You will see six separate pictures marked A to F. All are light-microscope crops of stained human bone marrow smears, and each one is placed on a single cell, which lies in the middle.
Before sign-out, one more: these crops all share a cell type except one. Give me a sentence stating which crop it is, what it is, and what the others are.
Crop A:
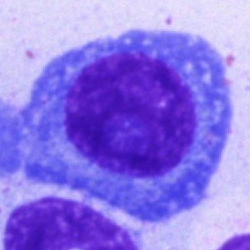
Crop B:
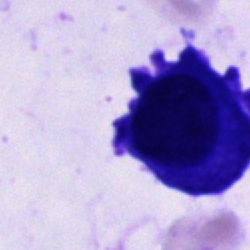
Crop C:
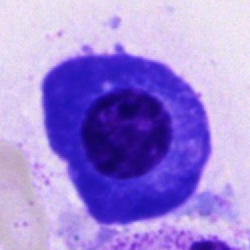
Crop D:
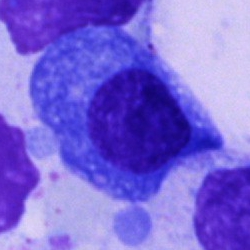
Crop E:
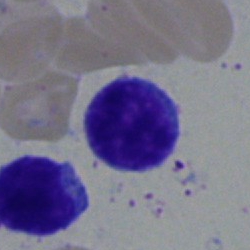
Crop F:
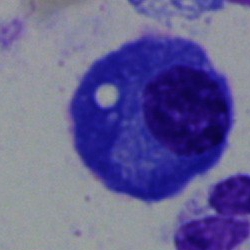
Crop E differs from the others in showing a lymphocyte; the rest all show plasma cells.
